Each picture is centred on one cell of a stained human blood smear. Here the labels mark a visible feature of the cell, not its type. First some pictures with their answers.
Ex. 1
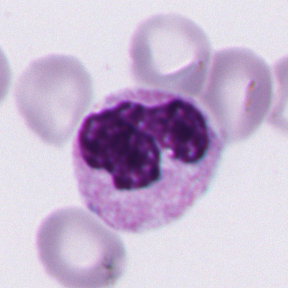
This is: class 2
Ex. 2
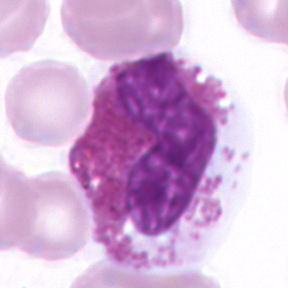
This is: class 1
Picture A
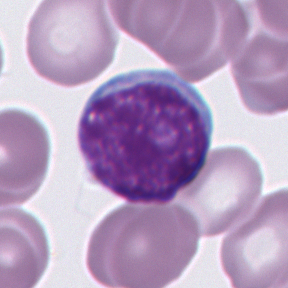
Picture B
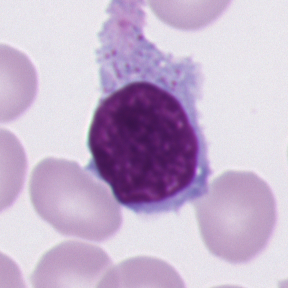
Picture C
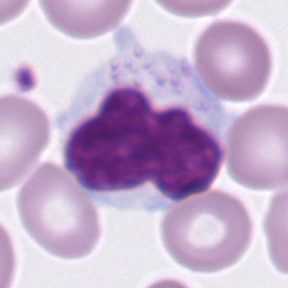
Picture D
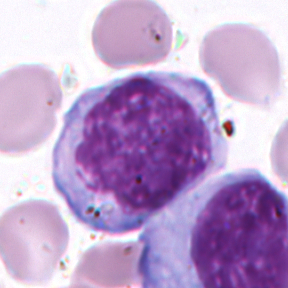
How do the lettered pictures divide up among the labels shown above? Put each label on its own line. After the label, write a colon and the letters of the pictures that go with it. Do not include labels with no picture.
class 2: A, D
class 1: B, C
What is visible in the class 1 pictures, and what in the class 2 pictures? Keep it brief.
Seen in class 1: ragged outline or projections; seen in class 2: smooth outline.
